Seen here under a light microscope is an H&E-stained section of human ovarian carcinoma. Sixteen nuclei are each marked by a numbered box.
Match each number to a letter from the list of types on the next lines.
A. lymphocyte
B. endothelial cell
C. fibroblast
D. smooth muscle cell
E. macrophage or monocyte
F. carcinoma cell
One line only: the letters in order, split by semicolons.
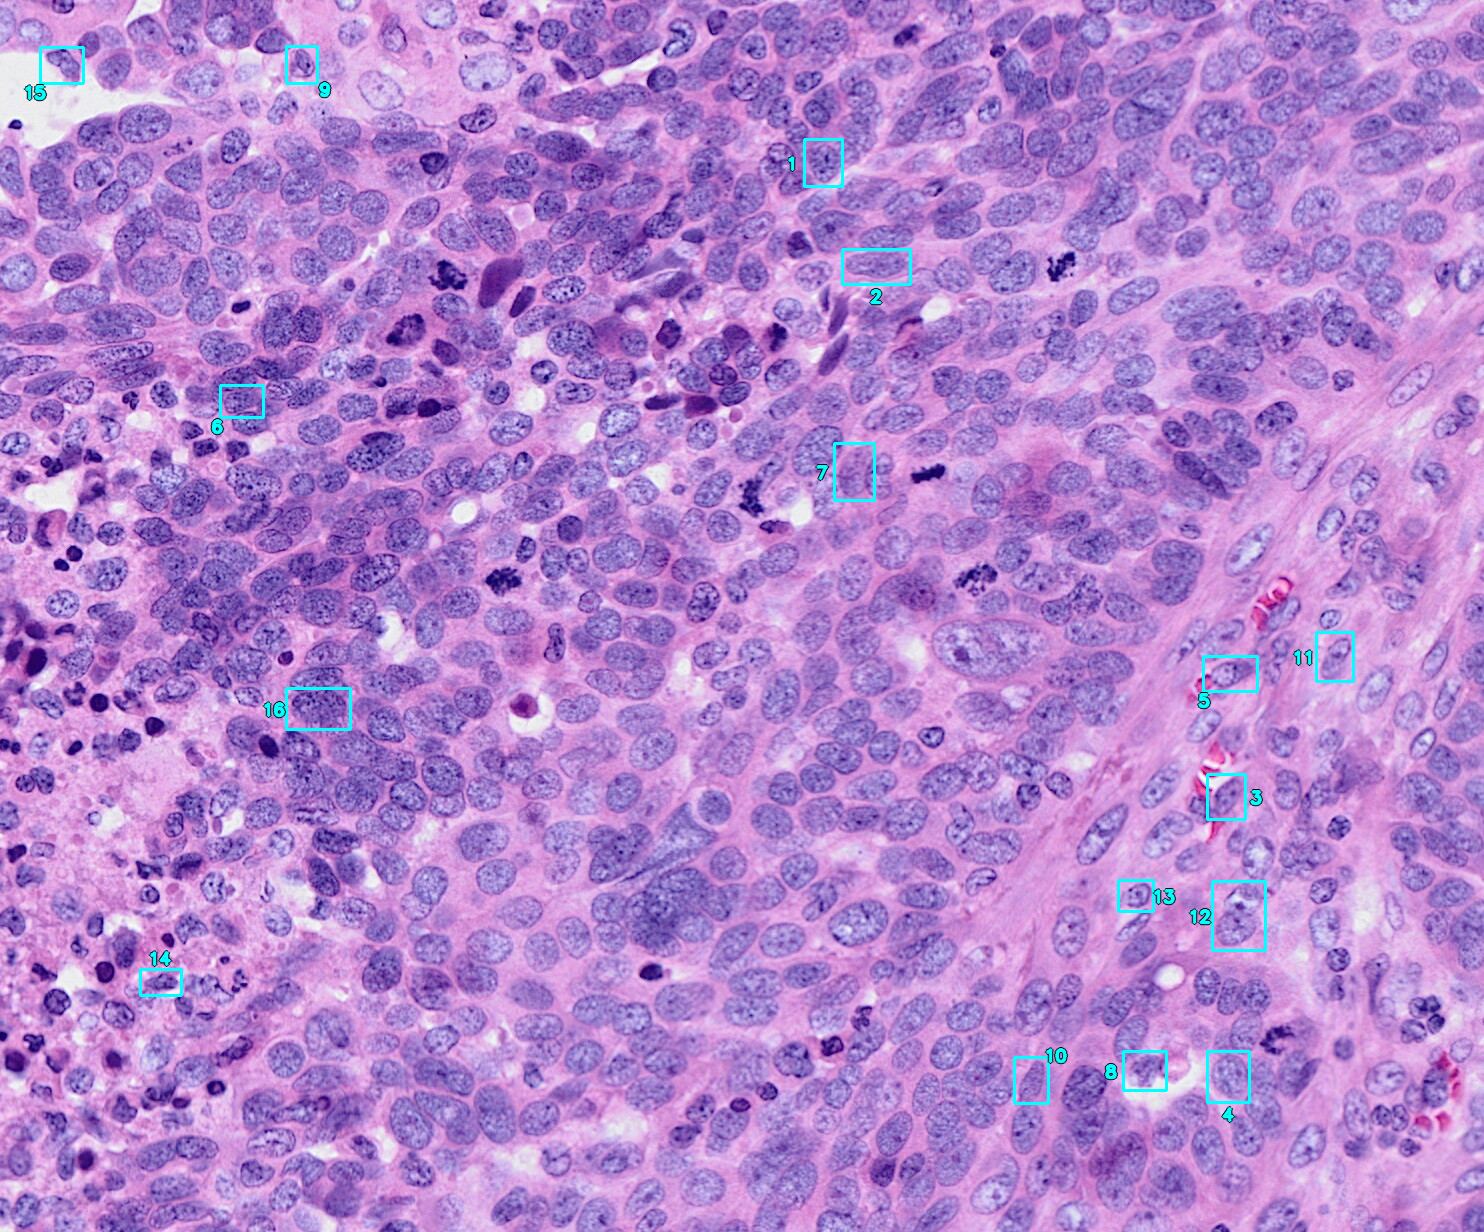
F; F; B; F; B; F; F; E; E; F; C; C; E; E; E; F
